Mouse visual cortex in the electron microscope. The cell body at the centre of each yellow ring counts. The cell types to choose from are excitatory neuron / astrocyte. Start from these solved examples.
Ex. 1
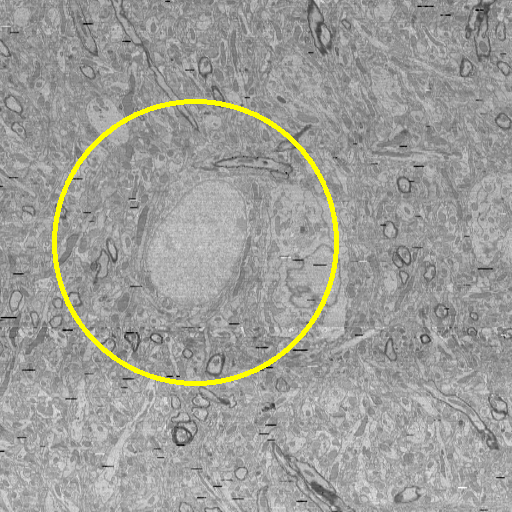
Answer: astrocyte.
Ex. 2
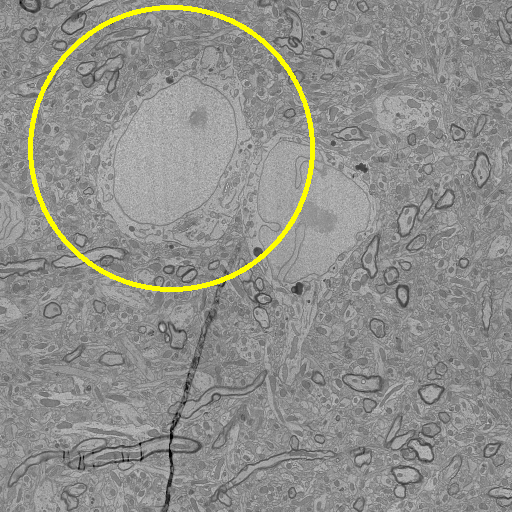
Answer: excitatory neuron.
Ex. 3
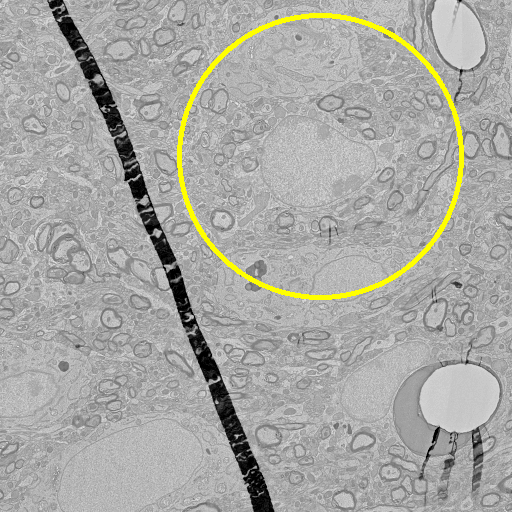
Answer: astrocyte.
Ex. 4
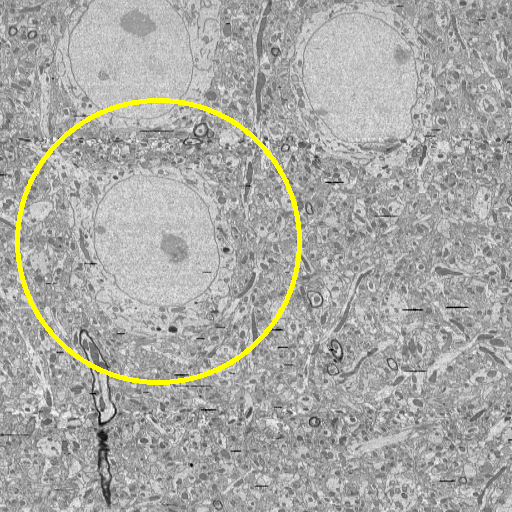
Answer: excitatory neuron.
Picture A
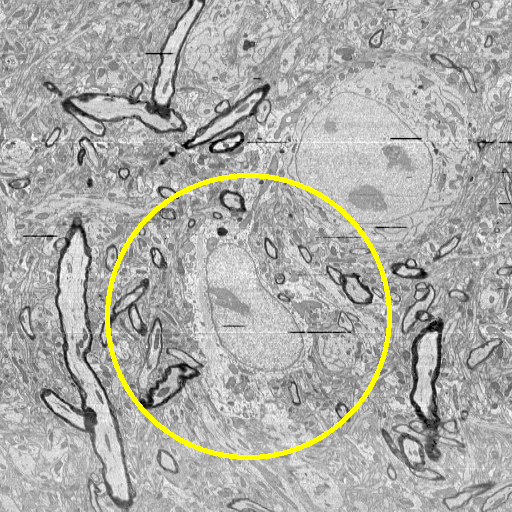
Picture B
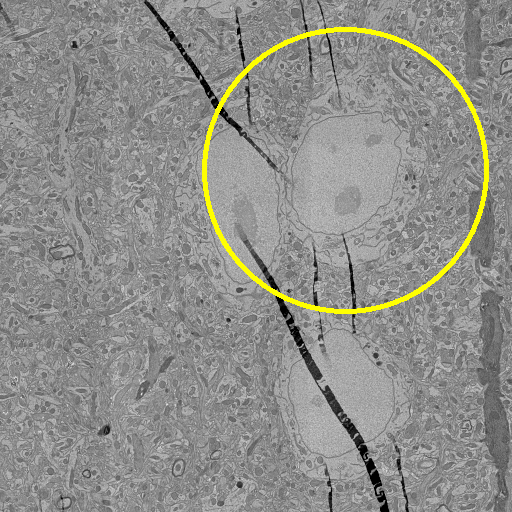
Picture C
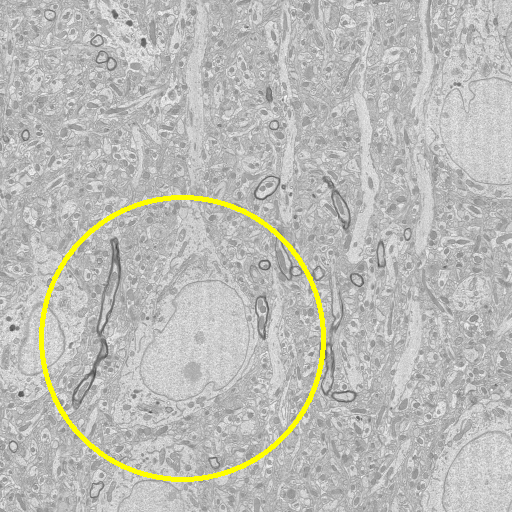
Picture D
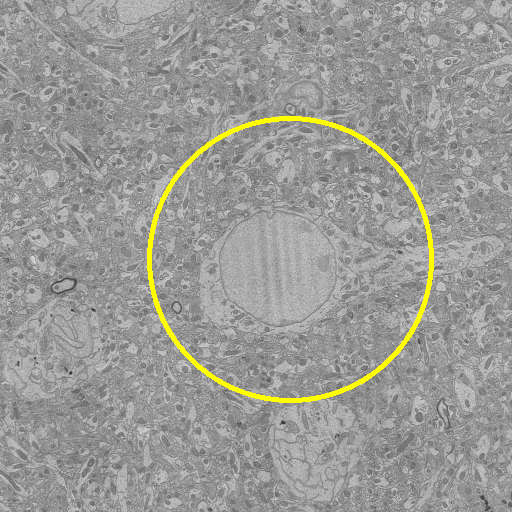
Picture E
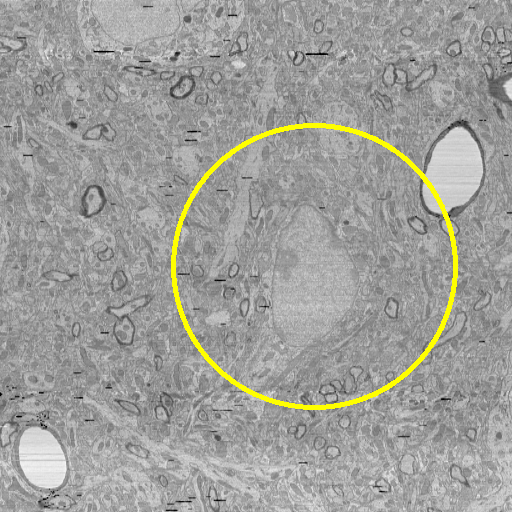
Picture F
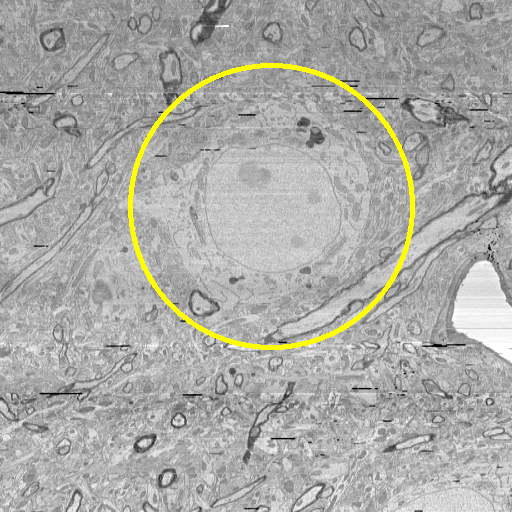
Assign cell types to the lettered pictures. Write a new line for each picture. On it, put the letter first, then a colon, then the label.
A: astrocyte.
B: excitatory neuron.
C: excitatory neuron.
D: excitatory neuron.
E: astrocyte.
F: excitatory neuron.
